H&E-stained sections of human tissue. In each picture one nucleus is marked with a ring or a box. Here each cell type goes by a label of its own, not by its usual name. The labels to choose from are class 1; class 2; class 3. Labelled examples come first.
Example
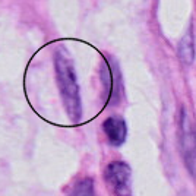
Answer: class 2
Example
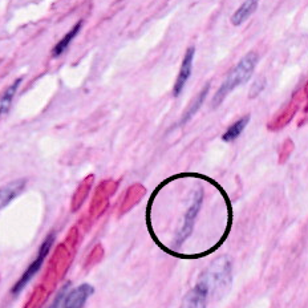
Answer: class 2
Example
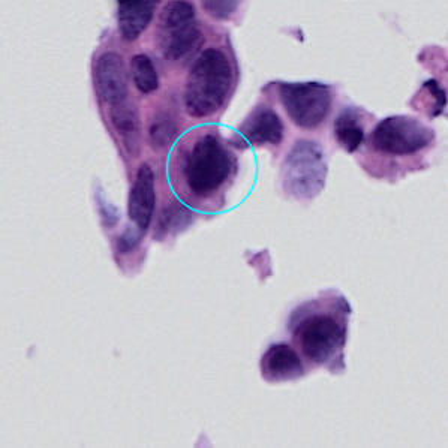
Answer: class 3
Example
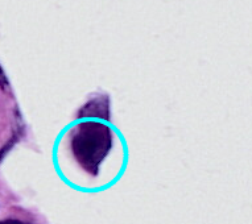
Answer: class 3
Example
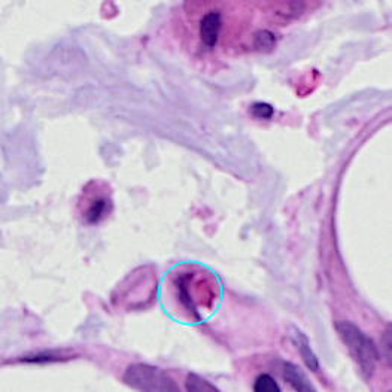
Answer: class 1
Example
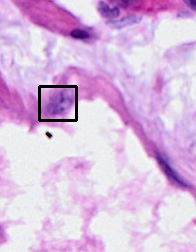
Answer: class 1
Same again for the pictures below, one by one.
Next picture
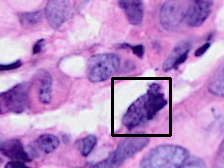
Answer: class 3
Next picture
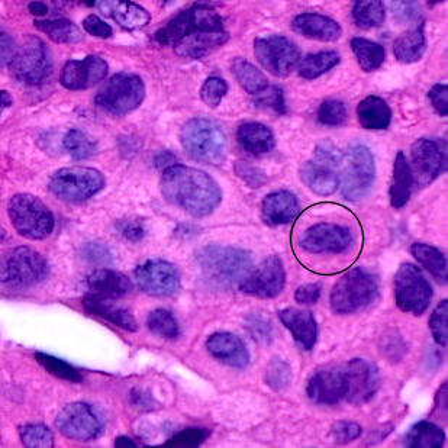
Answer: class 3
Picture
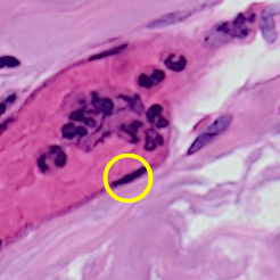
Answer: class 1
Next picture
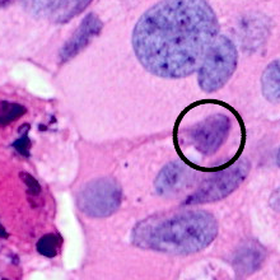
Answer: class 3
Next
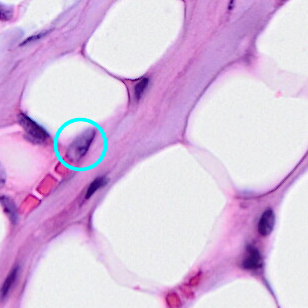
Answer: class 1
